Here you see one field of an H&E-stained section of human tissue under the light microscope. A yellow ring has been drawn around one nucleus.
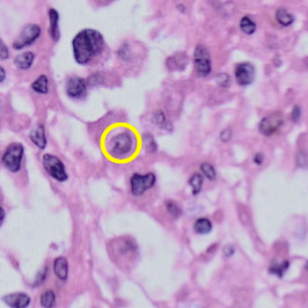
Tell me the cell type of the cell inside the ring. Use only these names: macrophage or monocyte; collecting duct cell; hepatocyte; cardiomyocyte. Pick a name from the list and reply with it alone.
macrophage or monocyte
